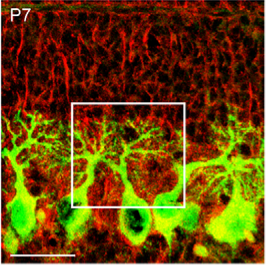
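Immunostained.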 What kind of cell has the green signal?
Purkinje cells.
